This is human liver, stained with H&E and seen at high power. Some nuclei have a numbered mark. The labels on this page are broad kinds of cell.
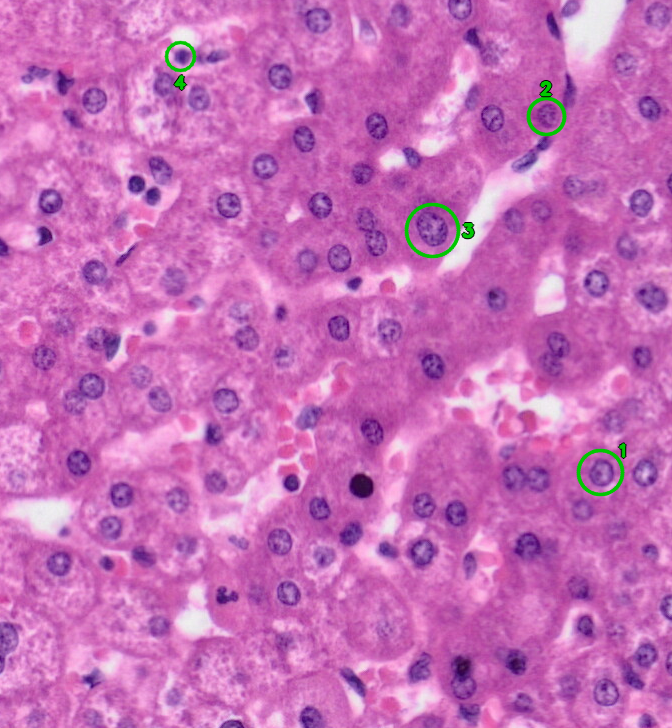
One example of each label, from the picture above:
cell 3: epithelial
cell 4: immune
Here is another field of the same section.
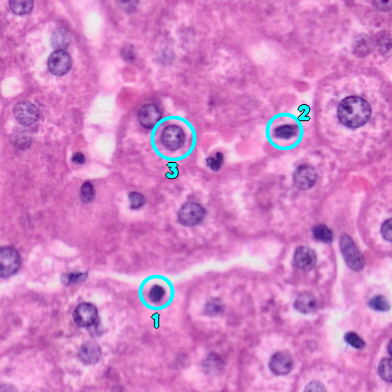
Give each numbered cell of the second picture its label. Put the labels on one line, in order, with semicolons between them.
immune; immune; epithelial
